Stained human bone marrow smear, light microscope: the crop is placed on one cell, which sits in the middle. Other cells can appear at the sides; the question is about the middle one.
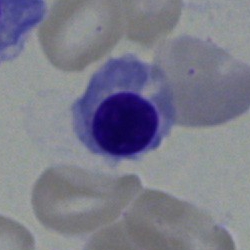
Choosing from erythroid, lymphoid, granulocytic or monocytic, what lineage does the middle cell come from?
erythroid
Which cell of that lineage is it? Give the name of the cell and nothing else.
erythroblast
